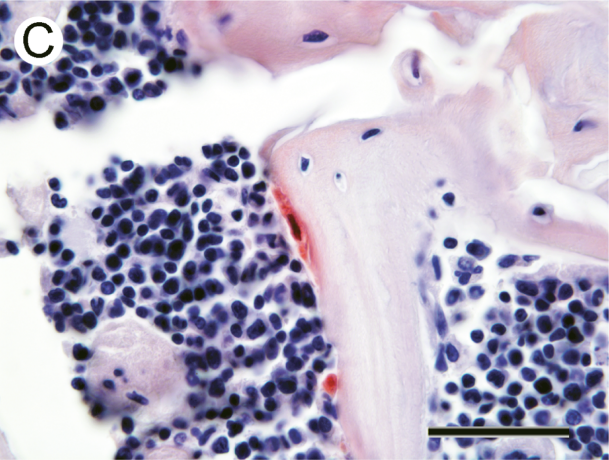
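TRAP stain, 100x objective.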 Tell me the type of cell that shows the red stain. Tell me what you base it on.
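Osteoclasts. A thin red-staining cell lies along the surface of the pink bone. It sits between the bone and the densely packed marrow cells.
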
